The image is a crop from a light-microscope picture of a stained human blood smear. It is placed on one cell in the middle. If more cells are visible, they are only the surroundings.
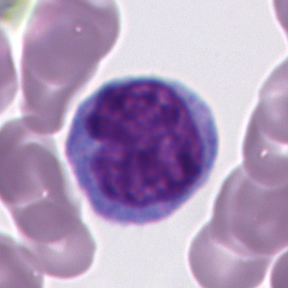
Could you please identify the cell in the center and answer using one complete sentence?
The central cell shown in this smear crop is a monocyte.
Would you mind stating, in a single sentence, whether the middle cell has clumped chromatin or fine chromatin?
Heads up, the chromatin in this one is coarsely clumped.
